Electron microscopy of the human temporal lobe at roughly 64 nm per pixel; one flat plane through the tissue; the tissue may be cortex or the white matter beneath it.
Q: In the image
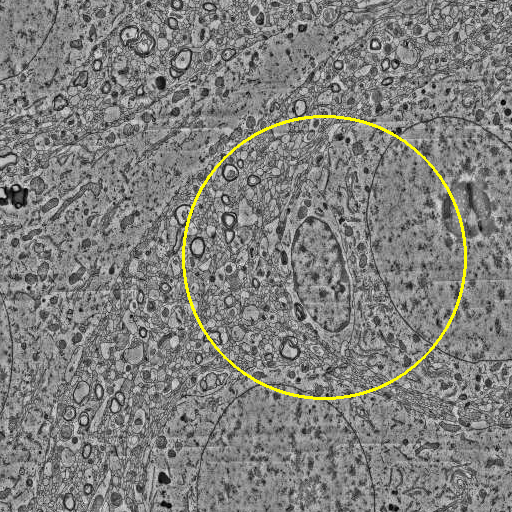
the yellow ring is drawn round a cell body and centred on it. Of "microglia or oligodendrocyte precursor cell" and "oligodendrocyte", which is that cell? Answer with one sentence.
The cell centred in the ring is a microglial cell or oligodendrocyte precursor cell.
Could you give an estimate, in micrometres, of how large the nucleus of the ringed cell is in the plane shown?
About 7 by 3 micrometers, in this plane.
